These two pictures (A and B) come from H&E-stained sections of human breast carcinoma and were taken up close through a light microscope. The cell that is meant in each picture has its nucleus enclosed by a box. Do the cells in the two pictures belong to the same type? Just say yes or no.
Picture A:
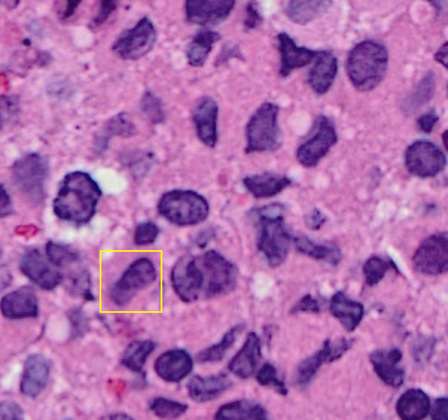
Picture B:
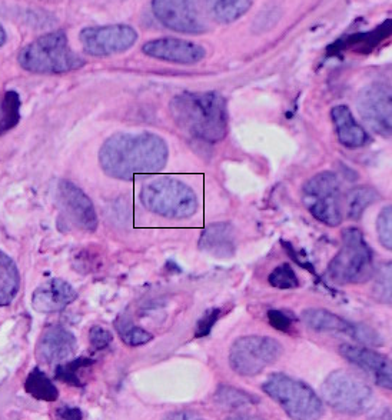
yes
